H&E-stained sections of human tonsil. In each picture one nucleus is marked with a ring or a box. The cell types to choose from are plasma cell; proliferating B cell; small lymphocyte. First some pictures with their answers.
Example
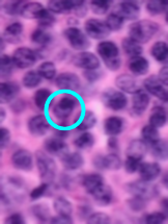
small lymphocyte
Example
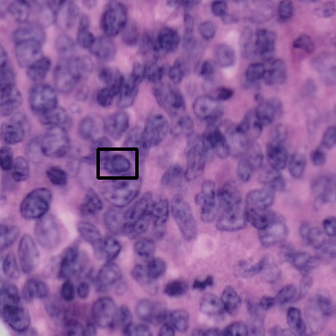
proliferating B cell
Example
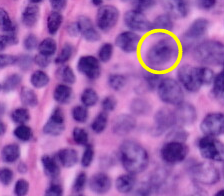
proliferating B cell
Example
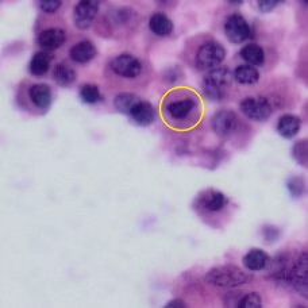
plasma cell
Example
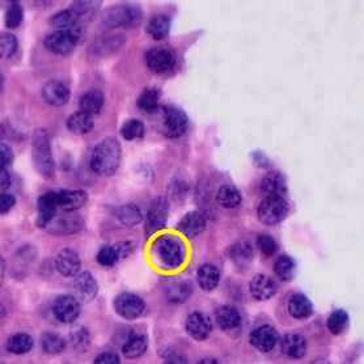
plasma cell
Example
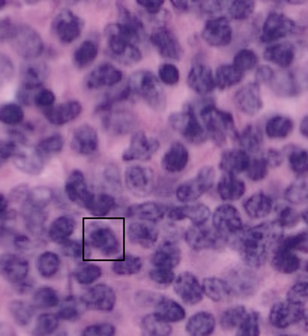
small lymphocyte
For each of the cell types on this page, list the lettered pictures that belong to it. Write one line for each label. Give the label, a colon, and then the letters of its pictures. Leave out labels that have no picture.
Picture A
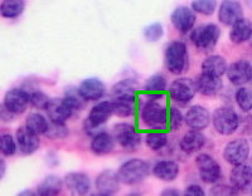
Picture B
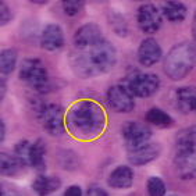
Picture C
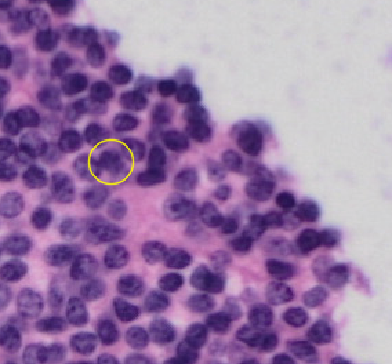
plasma cell: B
small lymphocyte: A, C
